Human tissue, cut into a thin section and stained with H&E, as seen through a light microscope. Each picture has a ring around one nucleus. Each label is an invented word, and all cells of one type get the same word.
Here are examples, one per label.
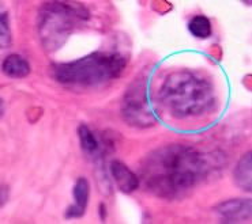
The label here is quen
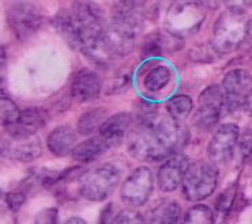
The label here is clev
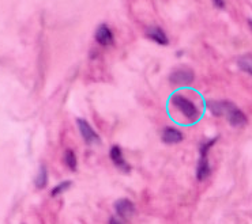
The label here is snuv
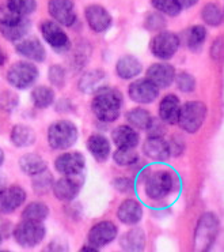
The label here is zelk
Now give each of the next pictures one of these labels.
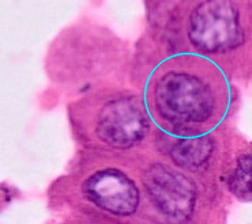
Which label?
quen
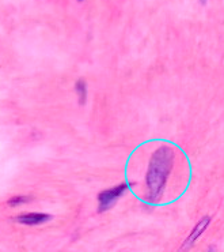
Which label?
snuv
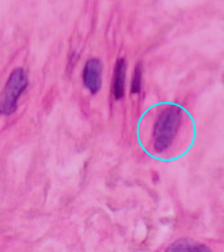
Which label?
snuv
